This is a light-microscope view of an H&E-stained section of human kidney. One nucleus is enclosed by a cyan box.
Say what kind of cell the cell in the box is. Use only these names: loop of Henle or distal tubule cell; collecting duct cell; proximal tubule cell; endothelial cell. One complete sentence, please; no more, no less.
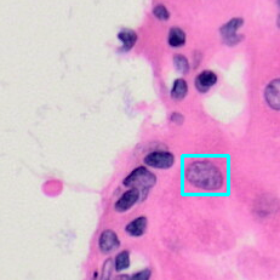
In short, the cell in the box on this section is a proximal tubule cell.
